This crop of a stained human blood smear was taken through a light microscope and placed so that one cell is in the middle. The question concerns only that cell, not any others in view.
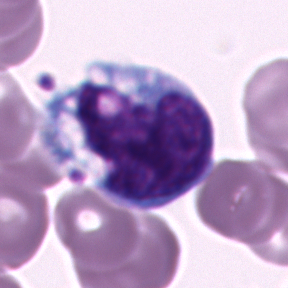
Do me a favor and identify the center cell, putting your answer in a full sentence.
Where the crop is centred, there is a monocyte.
